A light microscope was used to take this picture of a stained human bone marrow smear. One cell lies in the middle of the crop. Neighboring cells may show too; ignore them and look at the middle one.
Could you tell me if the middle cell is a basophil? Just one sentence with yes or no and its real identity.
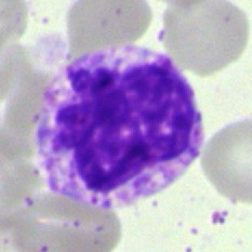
Yes, this is a basophil, the cell in the middle of the crop.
